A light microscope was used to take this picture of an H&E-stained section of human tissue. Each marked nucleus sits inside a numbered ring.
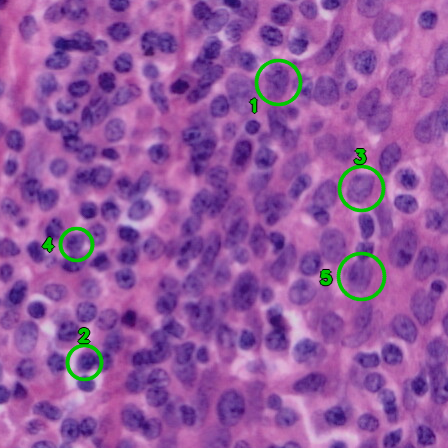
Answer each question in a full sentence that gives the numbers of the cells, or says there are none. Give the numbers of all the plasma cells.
By cell type, the cells numbered 2 and 4 are plasma cells.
